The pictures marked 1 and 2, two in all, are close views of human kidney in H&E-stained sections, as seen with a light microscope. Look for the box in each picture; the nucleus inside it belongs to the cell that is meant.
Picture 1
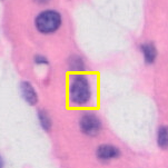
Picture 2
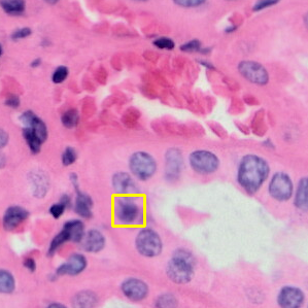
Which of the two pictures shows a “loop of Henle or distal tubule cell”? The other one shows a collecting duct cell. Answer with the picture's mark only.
1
